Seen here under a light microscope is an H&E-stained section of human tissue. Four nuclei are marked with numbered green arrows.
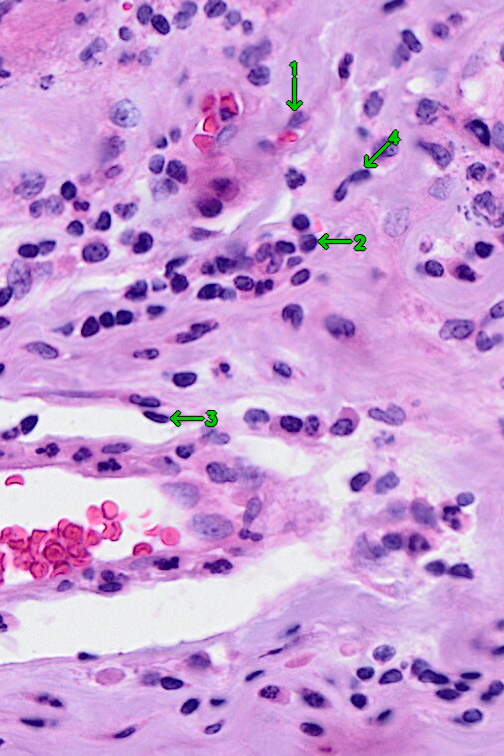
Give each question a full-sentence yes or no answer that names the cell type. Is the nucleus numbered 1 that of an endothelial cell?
Yes, the cell that the number 1 labels is an endothelial cell.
